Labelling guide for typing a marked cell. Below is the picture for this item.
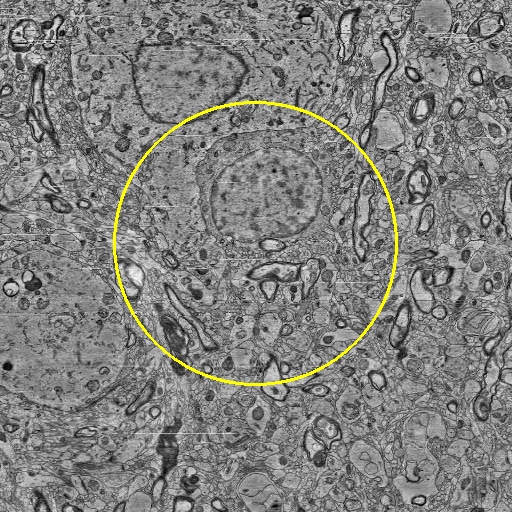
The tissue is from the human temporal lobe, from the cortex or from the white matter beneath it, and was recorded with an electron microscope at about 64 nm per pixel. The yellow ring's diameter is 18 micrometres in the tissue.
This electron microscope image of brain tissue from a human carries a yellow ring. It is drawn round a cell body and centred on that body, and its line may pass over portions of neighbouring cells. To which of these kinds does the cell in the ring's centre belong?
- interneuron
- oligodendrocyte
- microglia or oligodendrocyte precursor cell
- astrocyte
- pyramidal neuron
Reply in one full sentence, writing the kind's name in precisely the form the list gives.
Here we have an oligodendrocyte at the centre of the yellow ring in the picture.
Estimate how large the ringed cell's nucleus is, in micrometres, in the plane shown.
Roughly 8 by 6 micrometres is the size of the nucleus in this plane.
